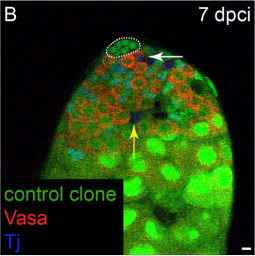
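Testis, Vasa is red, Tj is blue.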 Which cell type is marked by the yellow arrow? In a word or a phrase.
Differentiating cyst cell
